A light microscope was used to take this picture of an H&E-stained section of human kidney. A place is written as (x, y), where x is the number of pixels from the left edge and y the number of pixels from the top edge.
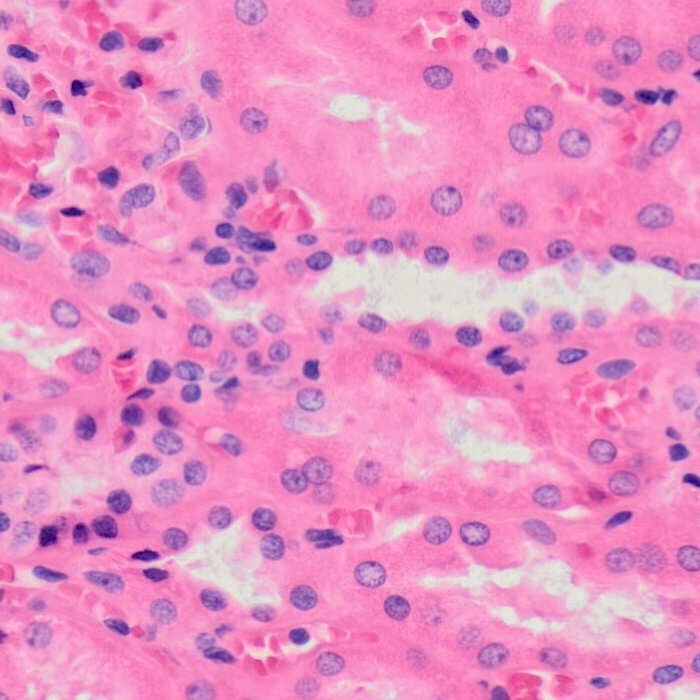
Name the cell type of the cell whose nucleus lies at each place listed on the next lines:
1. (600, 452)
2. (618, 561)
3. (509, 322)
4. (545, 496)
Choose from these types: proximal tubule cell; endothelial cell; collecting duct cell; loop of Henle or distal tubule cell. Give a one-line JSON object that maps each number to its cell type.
{"1": "proximal tubule cell", "2": "proximal tubule cell", "3": "loop of Henle or distal tubule cell", "4": "proximal tubule cell"}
